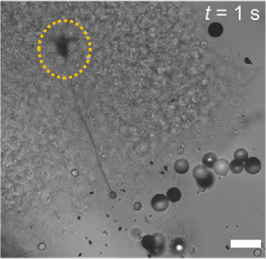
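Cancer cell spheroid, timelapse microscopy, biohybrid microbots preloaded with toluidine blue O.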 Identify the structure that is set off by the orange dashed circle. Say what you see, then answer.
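Ejected dye. A dark, irregular blot sits inside the circle within the cell mass. A faint thin line leads up to the blot from below.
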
